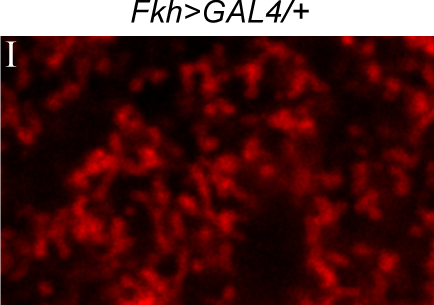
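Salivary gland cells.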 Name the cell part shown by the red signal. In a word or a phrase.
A: Mitochondria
